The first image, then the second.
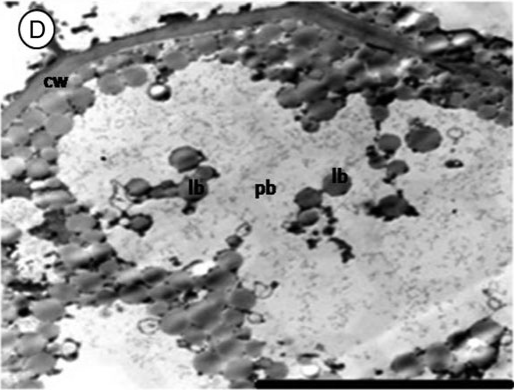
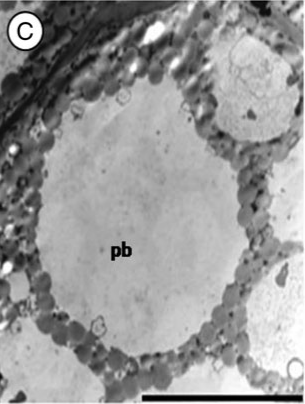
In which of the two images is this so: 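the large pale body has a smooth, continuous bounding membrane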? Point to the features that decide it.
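First image: the pale body has an irregular, broken outline with dark bodies intruding into it. Second image: a large round pale body with a smooth, continuous rim, ringed by small dark round bodies. That points to this answer: the second image.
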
